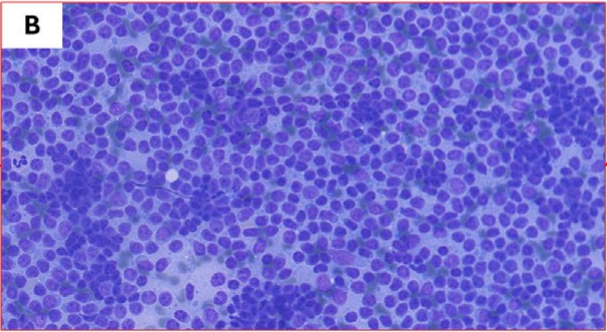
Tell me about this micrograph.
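This smear field is packed with small round cells, small lymphocytes lying singly and close together without forming cohesive groups. Their nuclei are round and deeply stained blue-purple, with scant cytoplasm around them. The cells are closely uniform in size, with only an occasional larger, paler nucleus. Pale blue background with thin greyish-green streaks runs between them, and darker clusters where cells overlap are seen in places. Overall the population looks monomorphic.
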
